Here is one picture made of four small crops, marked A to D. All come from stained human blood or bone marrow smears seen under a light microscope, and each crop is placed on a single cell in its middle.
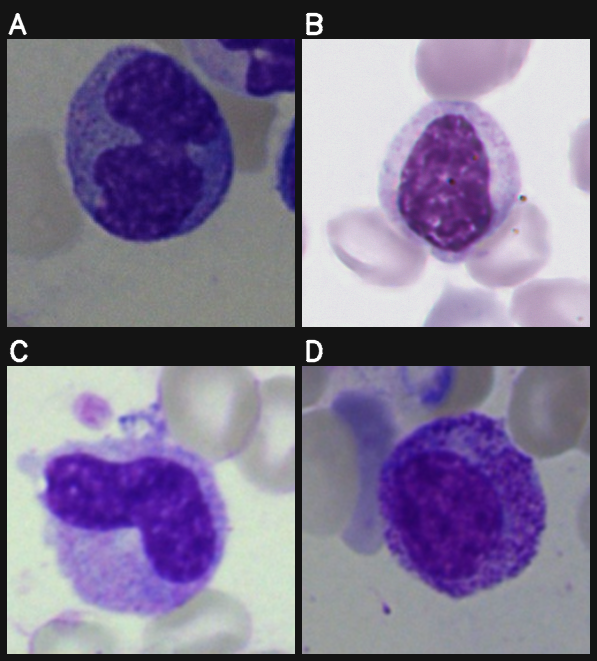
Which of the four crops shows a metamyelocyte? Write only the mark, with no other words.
B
